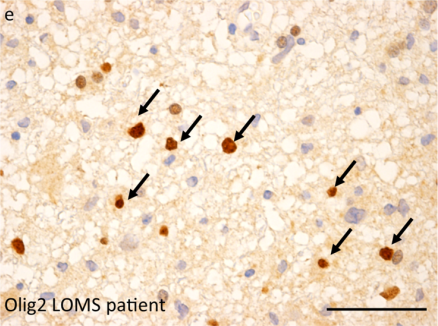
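The strongly stained nuclei are round to oval and lie singly, without a clear surrounding cytoplasm. No layered arrangement is present; the cells are dispersed through the tissue.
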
